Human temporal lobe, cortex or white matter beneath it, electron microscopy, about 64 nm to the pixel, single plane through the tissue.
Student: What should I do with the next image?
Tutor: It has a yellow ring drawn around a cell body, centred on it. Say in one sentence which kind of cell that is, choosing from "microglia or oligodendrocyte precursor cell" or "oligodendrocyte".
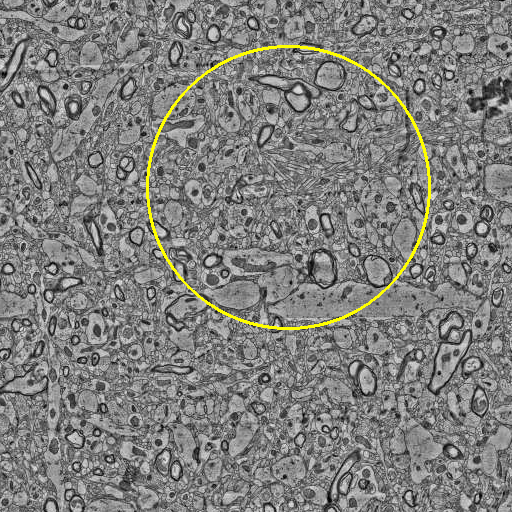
The ring's centre is occupied by an oligodendrocyte.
